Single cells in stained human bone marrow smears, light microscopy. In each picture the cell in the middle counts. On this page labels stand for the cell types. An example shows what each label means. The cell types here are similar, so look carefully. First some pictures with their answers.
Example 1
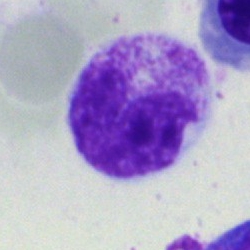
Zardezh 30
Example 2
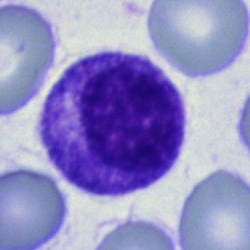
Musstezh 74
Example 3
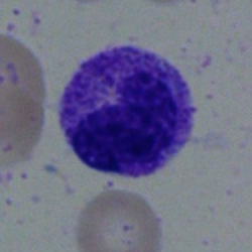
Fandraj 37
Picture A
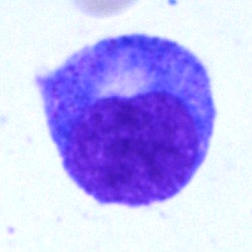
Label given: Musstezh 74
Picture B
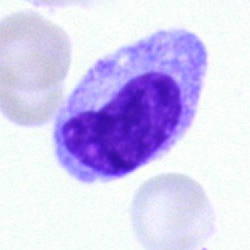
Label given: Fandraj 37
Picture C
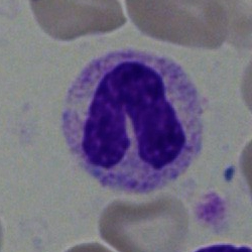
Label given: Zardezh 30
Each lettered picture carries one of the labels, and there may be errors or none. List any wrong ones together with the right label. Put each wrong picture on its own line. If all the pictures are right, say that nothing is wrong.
No label is wrong.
